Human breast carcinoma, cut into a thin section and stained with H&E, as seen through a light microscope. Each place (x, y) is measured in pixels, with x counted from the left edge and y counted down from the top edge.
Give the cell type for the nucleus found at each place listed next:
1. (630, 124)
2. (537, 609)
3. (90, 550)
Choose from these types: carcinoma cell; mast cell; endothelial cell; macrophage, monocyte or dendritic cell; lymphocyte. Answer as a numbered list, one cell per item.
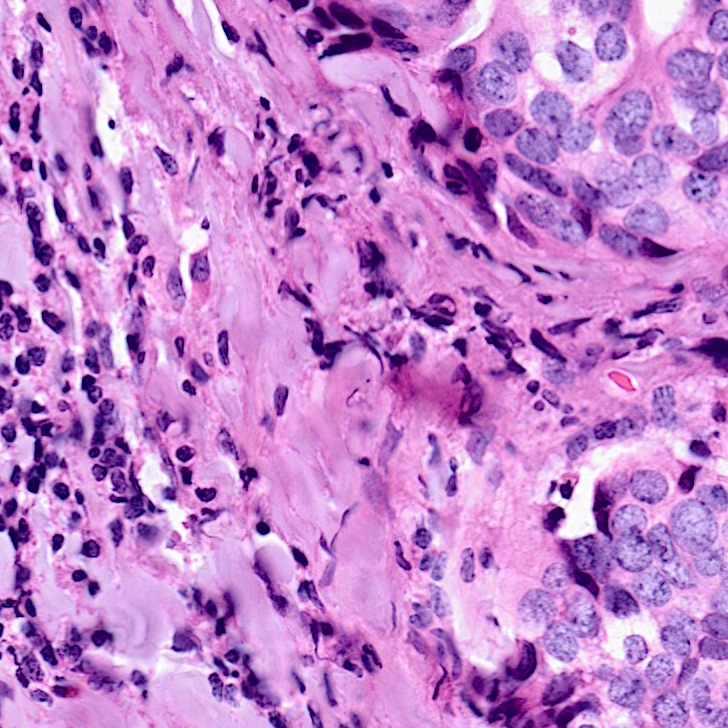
1. carcinoma cell
2. carcinoma cell
3. lymphocyte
